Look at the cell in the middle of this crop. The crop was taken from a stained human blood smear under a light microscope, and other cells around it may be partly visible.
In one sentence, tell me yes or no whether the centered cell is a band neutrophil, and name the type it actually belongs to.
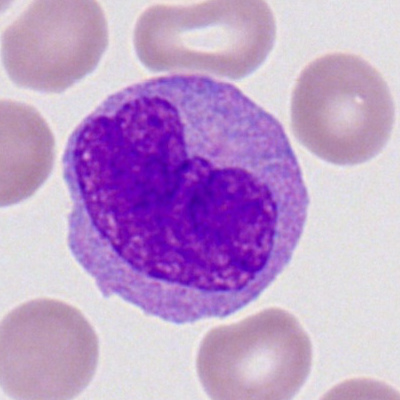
No, the cell in the middle should be called a monocyte instead of a band neutrophil.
